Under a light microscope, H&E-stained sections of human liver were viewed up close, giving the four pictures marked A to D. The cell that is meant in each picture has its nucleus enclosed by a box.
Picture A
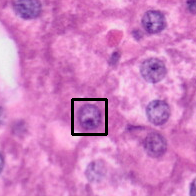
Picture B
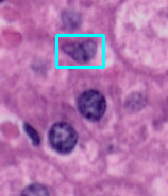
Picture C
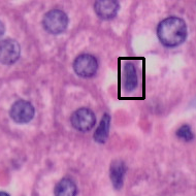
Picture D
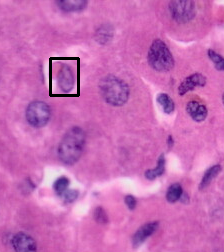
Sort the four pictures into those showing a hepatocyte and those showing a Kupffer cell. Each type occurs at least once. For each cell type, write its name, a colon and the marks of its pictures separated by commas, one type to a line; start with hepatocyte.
hepatocyte: A
Kupffer cell: B, C, D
